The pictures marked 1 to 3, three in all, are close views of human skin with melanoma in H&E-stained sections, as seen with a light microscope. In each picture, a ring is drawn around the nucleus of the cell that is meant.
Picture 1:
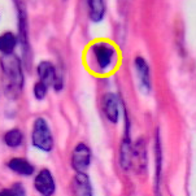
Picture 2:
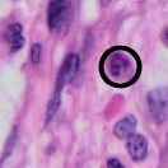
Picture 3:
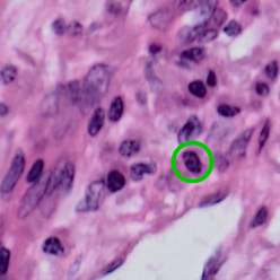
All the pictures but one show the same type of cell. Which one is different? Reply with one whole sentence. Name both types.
The others show plasma cells, but picture 1 shows a lymphocyte.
